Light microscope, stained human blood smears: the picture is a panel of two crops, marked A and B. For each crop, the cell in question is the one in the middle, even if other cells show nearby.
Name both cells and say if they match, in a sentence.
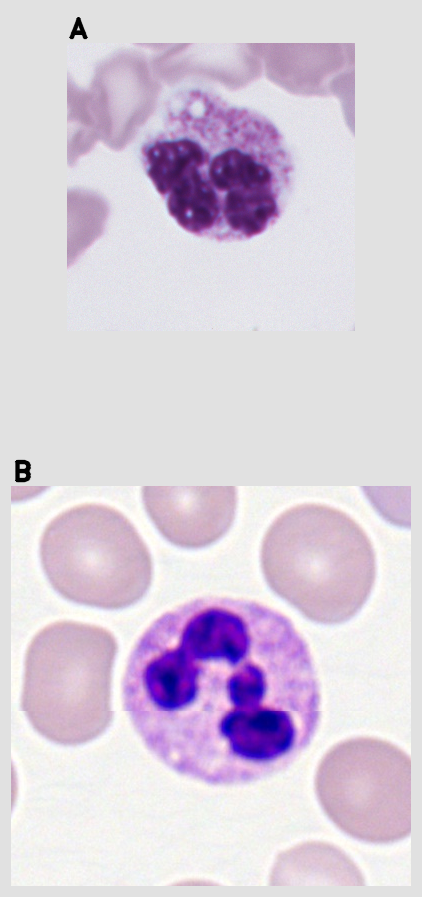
Yes, the two cells in the two crops are segmented neutrophils.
